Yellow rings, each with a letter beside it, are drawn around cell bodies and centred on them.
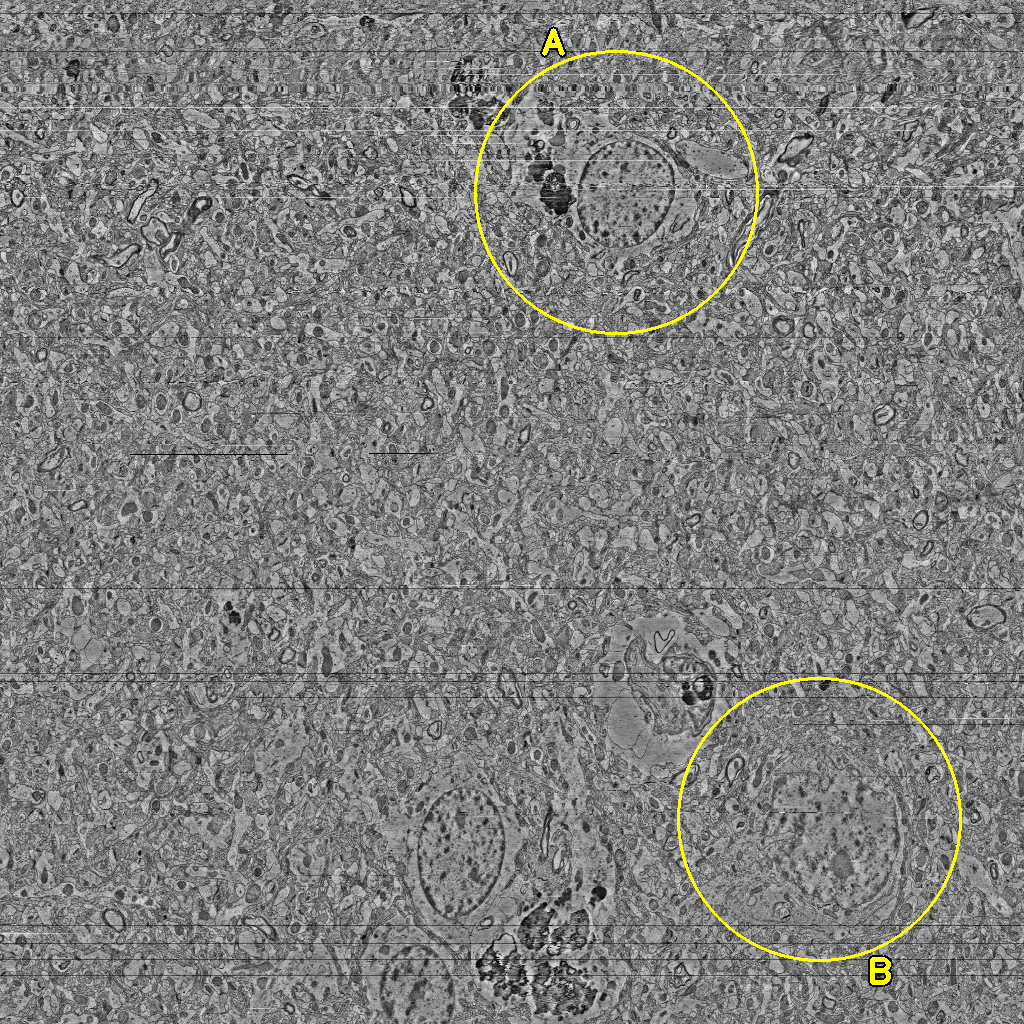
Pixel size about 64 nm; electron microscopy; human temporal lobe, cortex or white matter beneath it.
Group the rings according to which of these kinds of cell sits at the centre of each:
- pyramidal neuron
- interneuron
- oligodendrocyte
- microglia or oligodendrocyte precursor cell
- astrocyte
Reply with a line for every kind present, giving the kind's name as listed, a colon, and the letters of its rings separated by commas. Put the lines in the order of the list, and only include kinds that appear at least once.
interneuron: B
astrocyte: A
